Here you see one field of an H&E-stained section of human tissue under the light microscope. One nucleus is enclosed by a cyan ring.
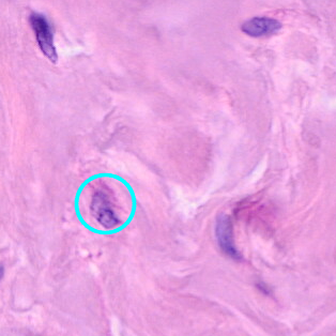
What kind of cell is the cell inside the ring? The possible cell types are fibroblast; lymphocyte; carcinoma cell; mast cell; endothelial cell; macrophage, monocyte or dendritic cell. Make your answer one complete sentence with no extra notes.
It is as a fibroblast that the cell inside the ring is classified.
